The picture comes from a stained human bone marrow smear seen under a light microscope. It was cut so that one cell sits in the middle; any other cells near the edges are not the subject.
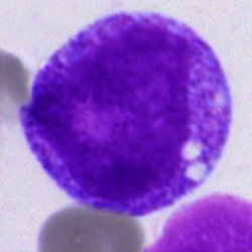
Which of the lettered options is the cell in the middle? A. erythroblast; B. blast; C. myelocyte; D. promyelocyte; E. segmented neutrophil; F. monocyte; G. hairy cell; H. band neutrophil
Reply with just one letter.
D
